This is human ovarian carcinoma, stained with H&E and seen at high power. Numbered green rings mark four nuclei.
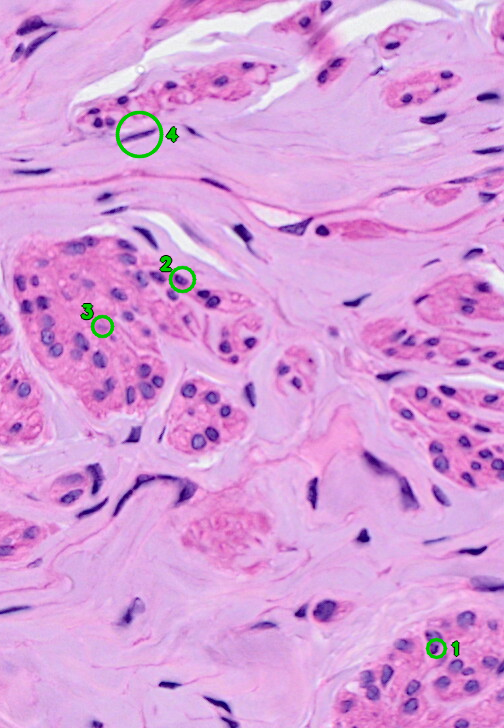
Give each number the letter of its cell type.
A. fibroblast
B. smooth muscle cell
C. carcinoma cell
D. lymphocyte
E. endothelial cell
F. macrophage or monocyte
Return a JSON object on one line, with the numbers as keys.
{"1": "B", "2": "B", "3": "B", "4": "A"}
